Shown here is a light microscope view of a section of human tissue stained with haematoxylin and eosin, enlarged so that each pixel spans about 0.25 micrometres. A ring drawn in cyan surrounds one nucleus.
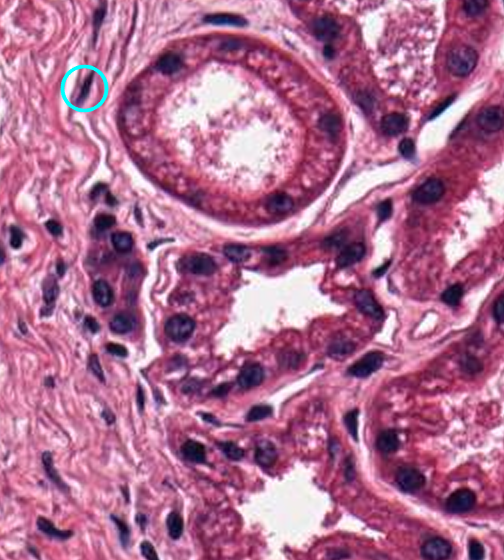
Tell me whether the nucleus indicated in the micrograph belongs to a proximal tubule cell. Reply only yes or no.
no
